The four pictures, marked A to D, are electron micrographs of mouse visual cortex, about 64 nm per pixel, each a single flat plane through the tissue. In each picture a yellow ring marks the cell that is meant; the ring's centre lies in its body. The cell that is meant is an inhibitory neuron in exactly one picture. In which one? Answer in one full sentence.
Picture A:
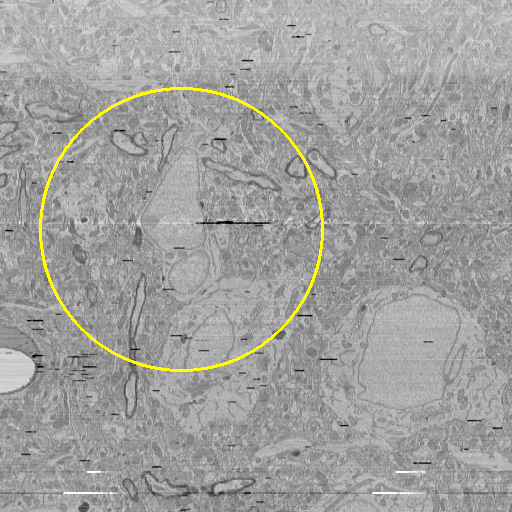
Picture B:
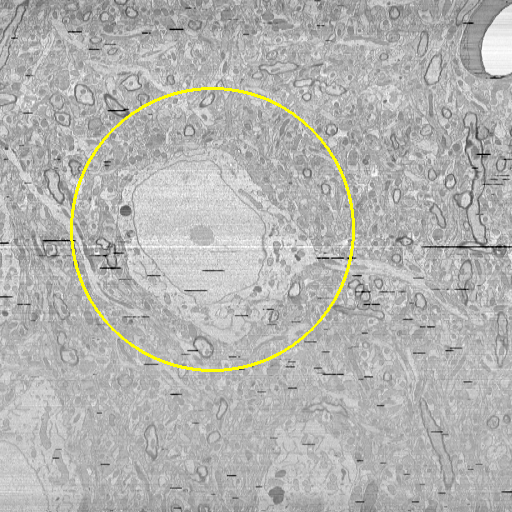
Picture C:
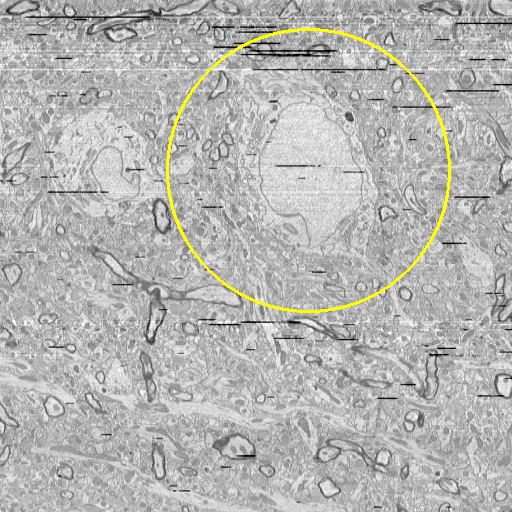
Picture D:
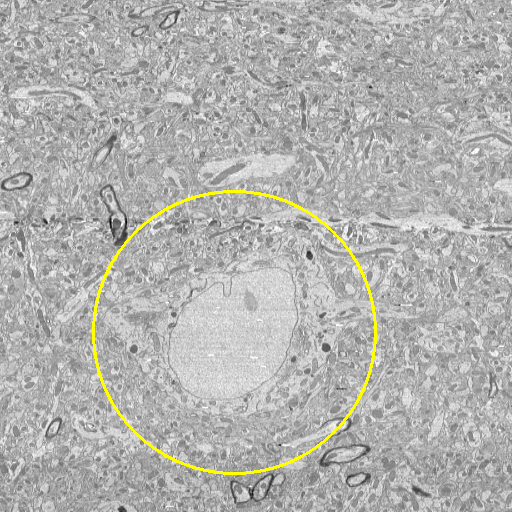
Picture C is the one that shows the inhibitory neuron.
